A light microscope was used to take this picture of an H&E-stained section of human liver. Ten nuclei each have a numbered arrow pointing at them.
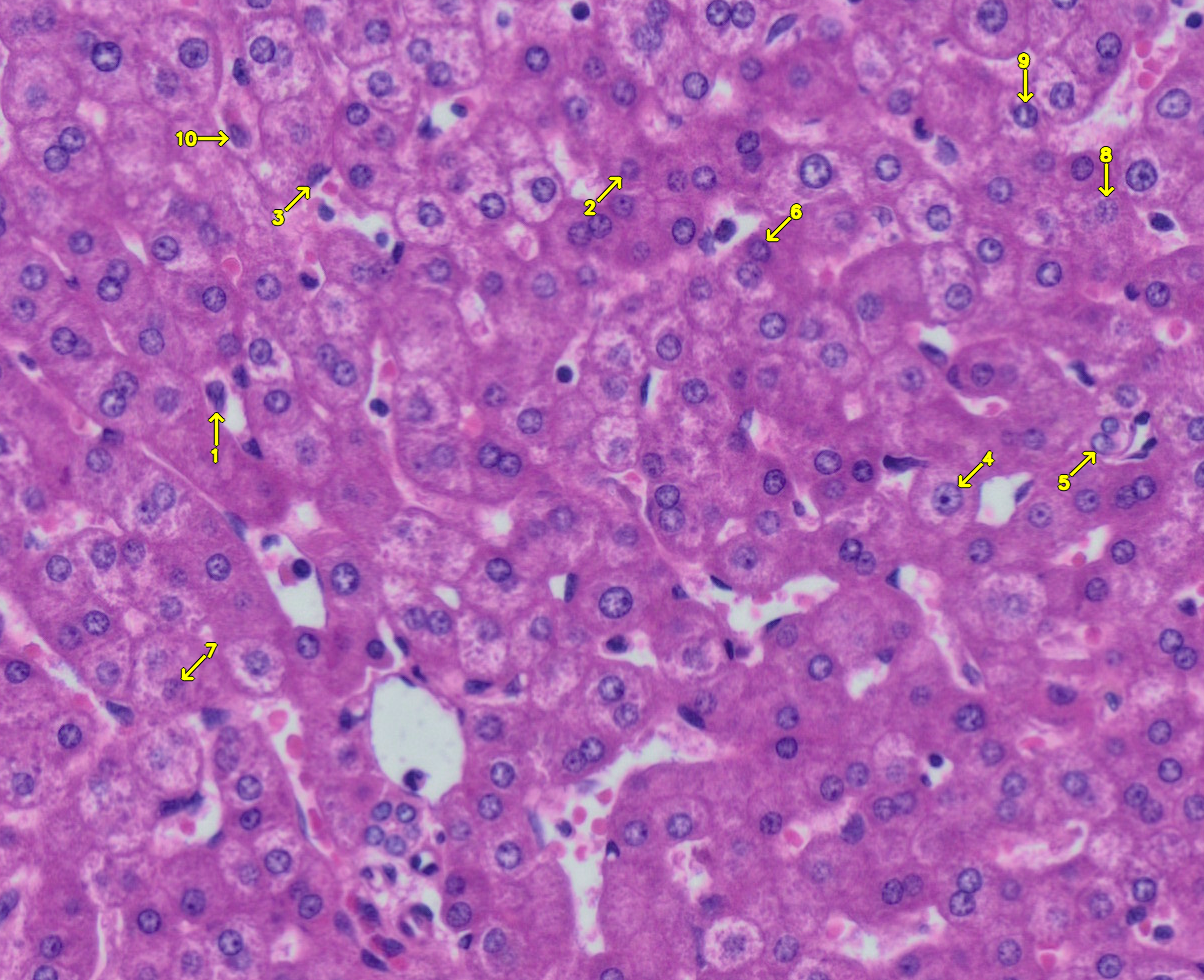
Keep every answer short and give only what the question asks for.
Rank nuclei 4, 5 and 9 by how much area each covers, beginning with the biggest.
4, 9, 5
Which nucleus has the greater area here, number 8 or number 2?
8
